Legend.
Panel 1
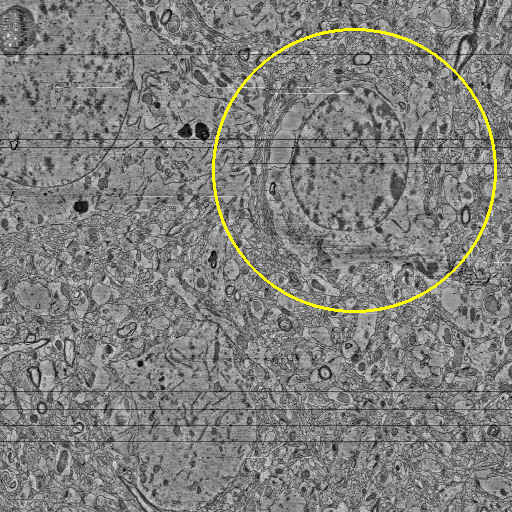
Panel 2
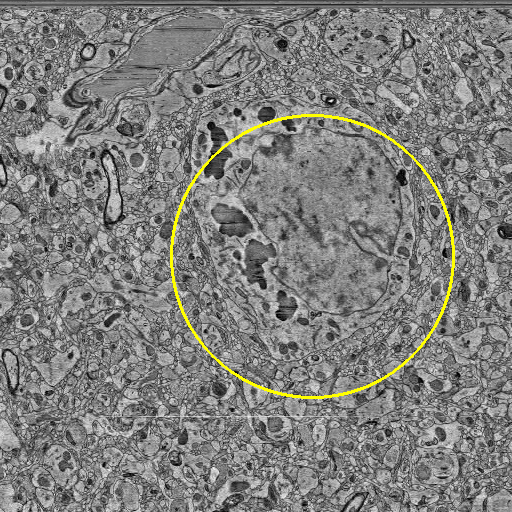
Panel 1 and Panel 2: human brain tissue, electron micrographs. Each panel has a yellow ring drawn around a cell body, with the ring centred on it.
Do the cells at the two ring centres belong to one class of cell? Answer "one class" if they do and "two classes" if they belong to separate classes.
two classes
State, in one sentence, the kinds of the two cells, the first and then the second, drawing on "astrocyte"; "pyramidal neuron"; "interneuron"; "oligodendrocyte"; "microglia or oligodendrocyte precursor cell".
The ring in the second picture is centred on an interneuron, the ring in the first on an astrocyte.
